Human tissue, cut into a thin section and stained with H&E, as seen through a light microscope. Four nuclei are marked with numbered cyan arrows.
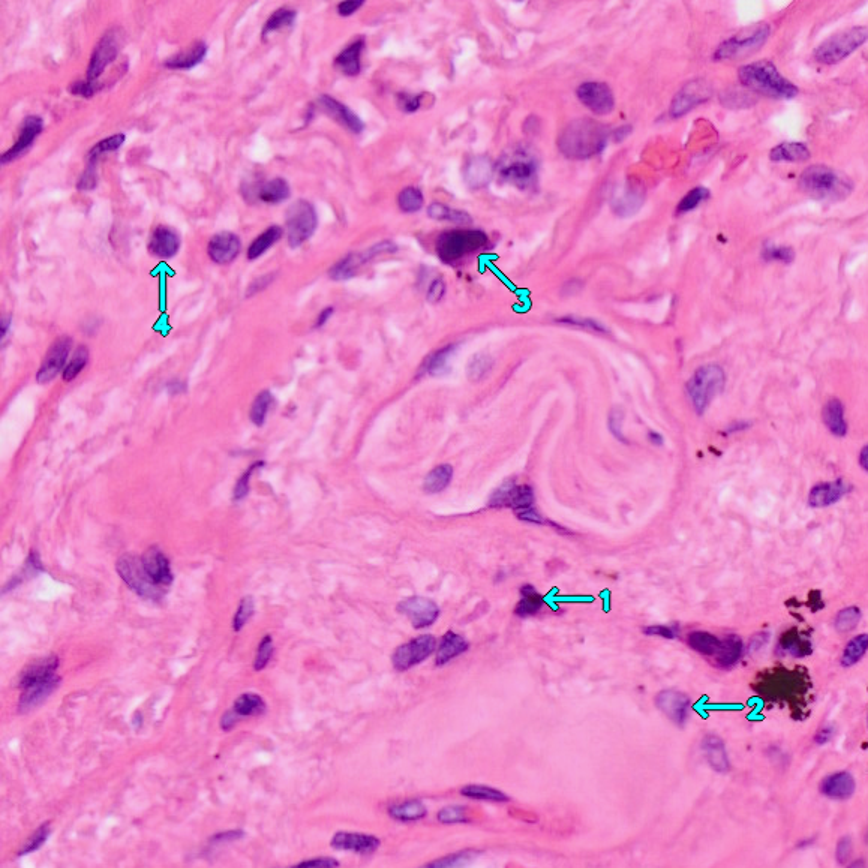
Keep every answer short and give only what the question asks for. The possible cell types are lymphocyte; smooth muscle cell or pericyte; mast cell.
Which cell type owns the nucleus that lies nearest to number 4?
mast cell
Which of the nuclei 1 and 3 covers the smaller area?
1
